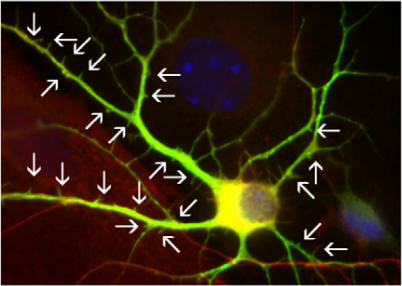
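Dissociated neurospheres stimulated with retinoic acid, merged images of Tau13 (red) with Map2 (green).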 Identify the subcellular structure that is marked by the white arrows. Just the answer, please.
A: Spiny projections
